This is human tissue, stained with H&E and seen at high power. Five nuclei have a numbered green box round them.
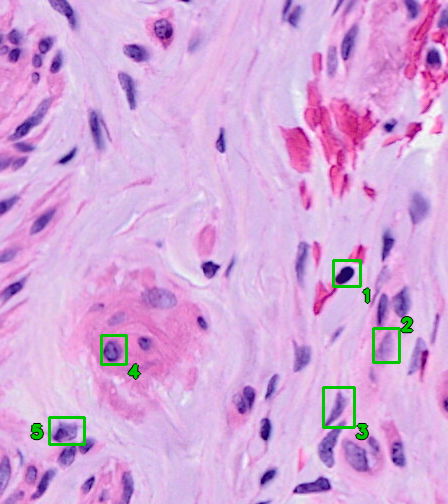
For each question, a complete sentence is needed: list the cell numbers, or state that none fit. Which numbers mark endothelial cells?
The cell labelled 2 is an endothelial cell, while the remaining numbered cells are not.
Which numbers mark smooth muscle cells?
Only one of the numbered nuclei, number 4, belongs to a smooth muscle cell.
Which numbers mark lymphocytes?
Among all the marked cells, a lymphocyte is found only at number 1.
